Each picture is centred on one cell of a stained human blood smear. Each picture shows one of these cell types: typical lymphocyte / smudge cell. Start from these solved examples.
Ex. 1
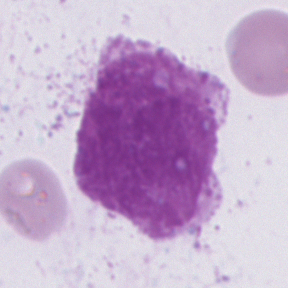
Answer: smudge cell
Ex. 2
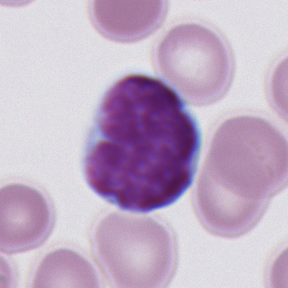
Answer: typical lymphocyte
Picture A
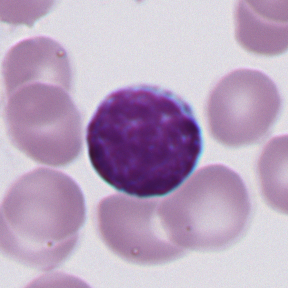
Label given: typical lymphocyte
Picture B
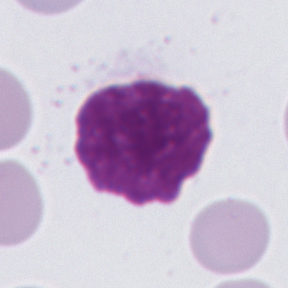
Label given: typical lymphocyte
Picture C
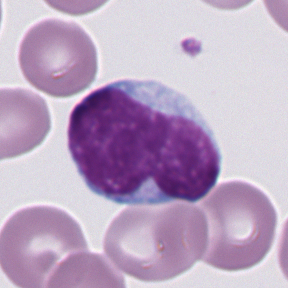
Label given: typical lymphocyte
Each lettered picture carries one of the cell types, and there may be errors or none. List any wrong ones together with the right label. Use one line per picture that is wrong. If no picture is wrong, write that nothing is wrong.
Wrong: B (typical lymphocyte); correct: smudge cell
